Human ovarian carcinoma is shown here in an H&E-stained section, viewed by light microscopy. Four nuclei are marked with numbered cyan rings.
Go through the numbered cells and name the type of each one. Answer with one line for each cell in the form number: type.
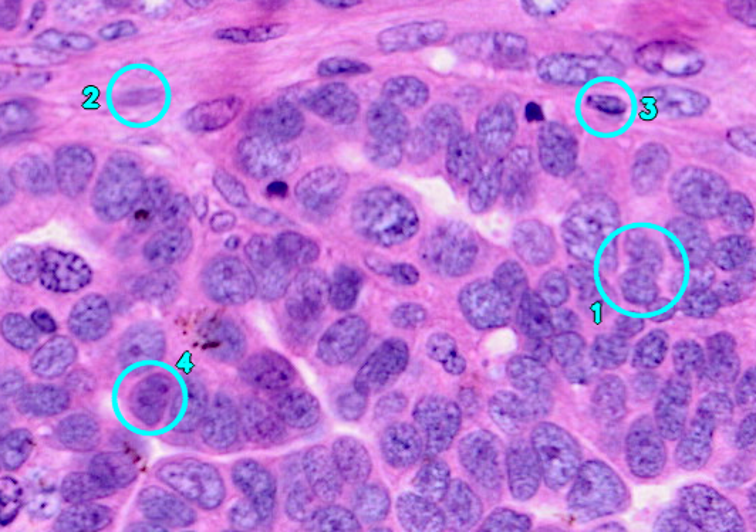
1: carcinoma cell
2: fibroblast
3: lymphocyte
4: carcinoma cell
